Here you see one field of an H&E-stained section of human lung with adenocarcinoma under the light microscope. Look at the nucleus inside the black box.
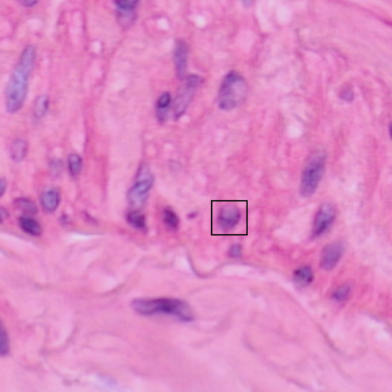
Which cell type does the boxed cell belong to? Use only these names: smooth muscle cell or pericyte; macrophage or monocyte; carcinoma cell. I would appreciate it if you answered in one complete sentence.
In cell-type terms, the boxed cell is a smooth muscle cell or pericyte.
